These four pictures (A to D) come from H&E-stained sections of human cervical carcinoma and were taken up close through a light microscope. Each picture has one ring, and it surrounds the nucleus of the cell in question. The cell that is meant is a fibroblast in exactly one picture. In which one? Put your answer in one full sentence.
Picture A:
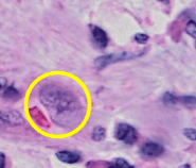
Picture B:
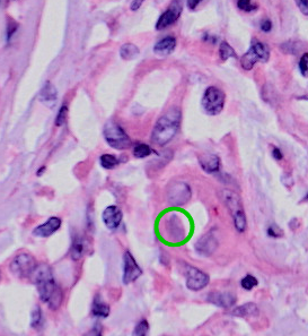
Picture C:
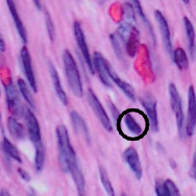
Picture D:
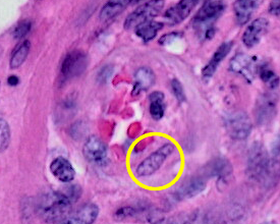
The fibroblast is the one in picture C.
